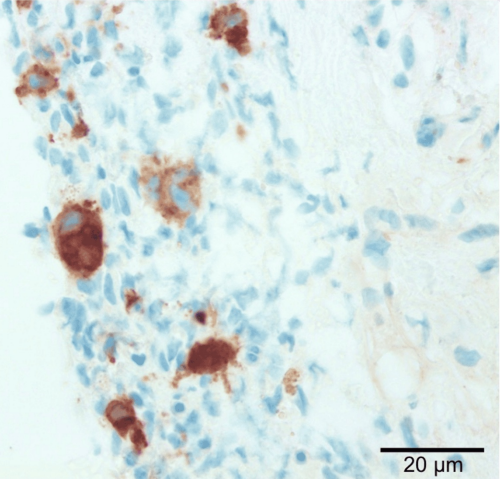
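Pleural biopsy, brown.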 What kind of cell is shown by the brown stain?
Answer: megakaryocytes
